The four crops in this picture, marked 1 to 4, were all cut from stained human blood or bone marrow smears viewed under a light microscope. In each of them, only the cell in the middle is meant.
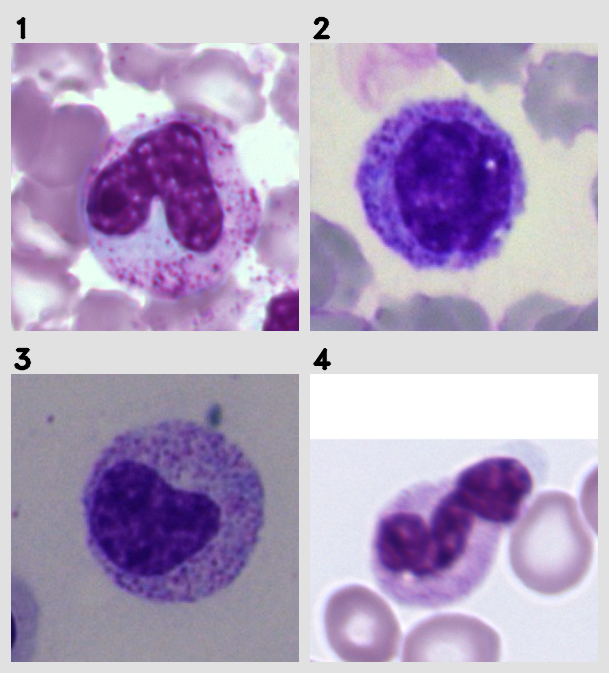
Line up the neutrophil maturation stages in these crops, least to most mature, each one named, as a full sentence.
Least to most mature, the crops line up as crop 2 (a myelocyte), crop 3 (a metamyelocyte), crop 1 (a band neutrophil) and crop 4 (a segmented neutrophil).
